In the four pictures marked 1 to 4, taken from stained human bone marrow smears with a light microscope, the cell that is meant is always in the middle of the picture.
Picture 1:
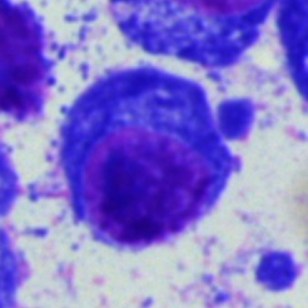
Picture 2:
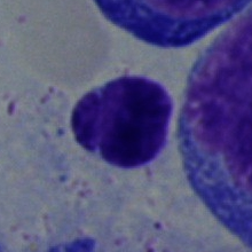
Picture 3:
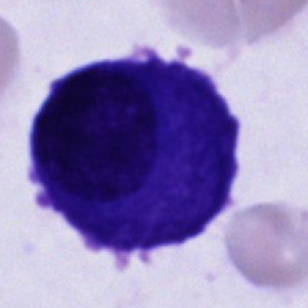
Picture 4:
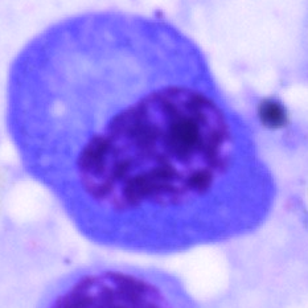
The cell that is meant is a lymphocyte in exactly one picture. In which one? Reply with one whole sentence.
The cell in picture 2 is the lymphocyte.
